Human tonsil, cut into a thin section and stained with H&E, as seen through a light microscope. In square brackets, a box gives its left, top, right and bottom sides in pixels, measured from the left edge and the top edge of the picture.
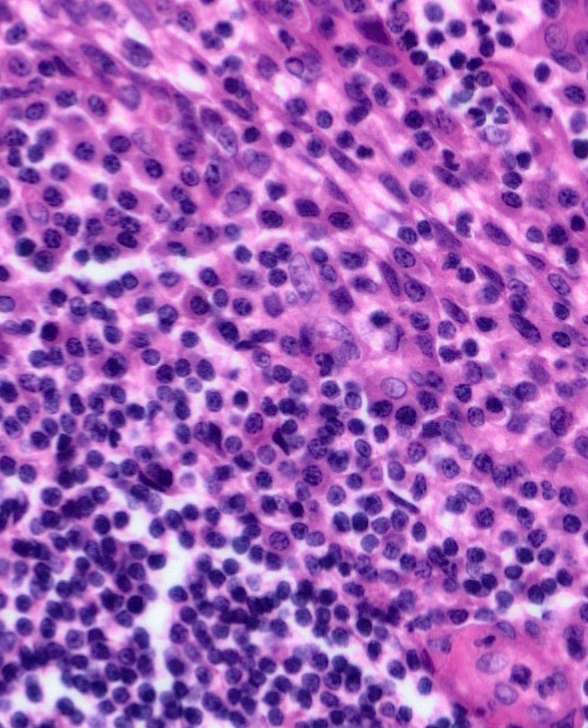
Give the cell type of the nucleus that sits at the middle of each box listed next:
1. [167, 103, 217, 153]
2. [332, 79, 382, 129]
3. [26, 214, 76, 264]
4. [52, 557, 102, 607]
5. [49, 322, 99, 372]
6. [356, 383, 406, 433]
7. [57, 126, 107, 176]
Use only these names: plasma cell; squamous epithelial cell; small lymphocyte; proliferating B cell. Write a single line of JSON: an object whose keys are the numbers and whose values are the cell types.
{"1": "squamous epithelial cell", "2": "squamous epithelial cell", "3": "plasma cell", "4": "small lymphocyte", "5": "plasma cell", "6": "plasma cell", "7": "plasma cell"}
